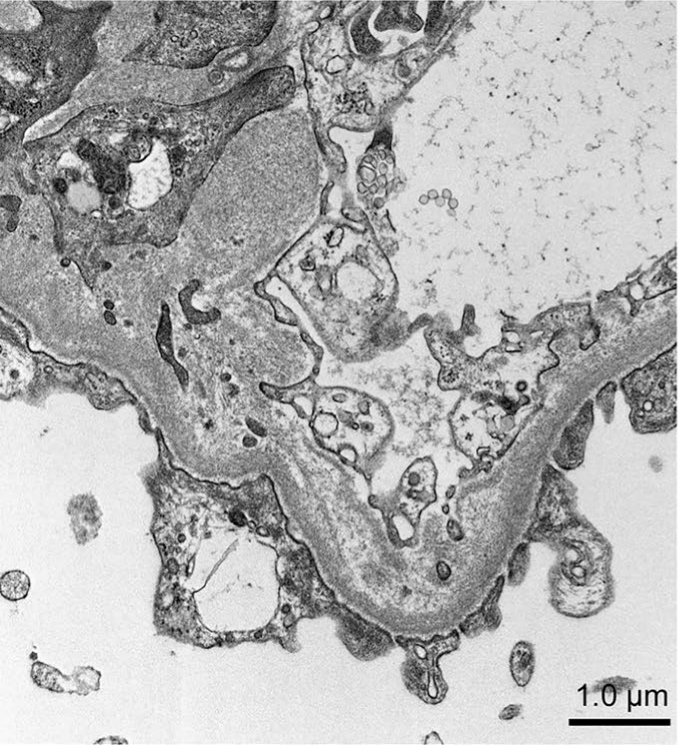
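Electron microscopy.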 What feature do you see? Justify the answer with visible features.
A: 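A broad band of grey extracellular material runs as a curved layer through the panel. Small cell foot processes sit in a row along one surface of the band. Cells with cytoplasmic organelles line the other side of the band.
Conclusion: glomerular basement membrane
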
